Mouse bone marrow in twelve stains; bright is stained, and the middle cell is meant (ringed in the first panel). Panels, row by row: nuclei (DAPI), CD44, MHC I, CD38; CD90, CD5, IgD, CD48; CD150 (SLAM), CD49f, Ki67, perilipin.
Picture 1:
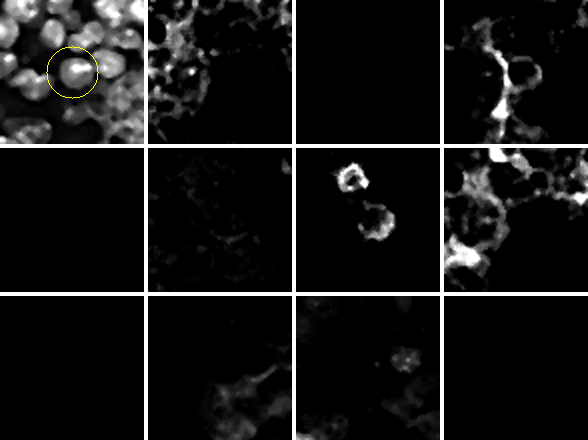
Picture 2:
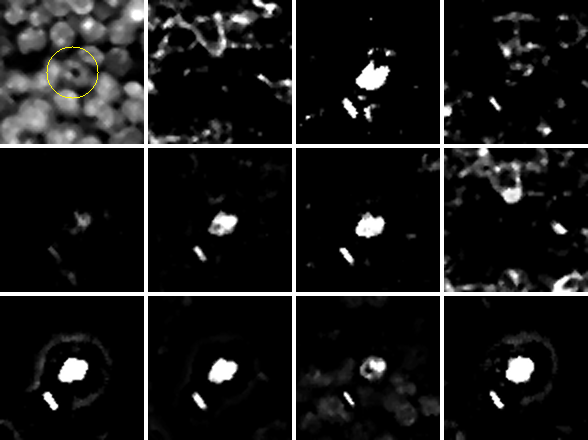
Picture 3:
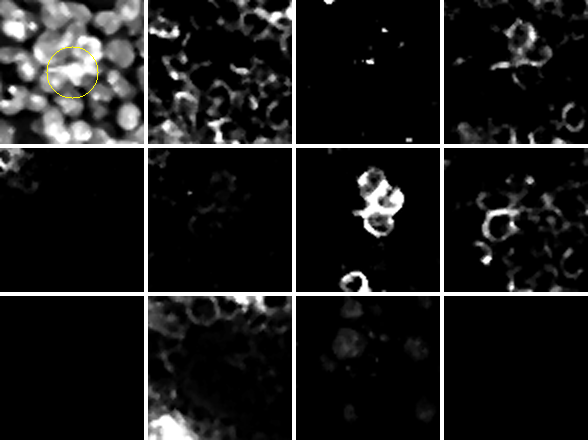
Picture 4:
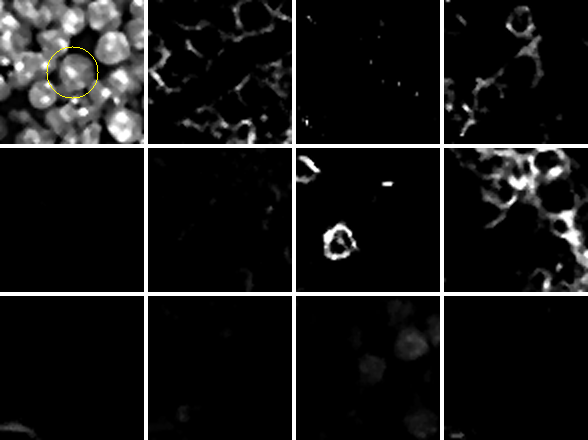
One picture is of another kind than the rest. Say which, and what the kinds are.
Picture 4 shows an erythroblast; the rest show B cells.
